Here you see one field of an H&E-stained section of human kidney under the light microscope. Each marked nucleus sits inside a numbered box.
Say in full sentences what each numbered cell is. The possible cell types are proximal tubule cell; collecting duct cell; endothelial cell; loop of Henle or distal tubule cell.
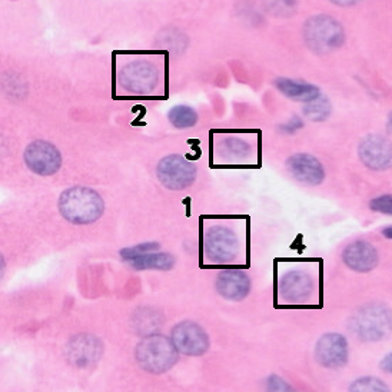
Cells 1, 3 and 4 are loop of Henle or distal tubule cells. Cell 2 is a proximal tubule cell.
